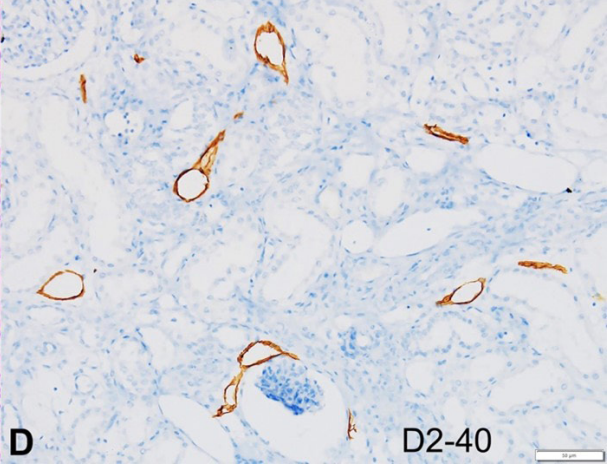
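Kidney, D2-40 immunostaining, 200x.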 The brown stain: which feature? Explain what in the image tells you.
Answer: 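Brown stain outlines thin-walled channels with open, empty lumina. The stained channels lie in the interstitium between unstained tubules. Some stained channels are rounded and widely open. On this evidence: dilated lymphatic channels.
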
